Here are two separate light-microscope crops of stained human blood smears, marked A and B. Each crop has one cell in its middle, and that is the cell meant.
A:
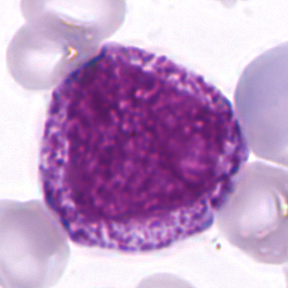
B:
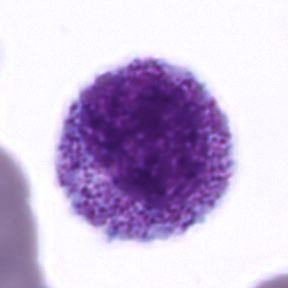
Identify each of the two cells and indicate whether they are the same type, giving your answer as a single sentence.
No, enter a promyelocyte for crop A and a myelocyte for crop B.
